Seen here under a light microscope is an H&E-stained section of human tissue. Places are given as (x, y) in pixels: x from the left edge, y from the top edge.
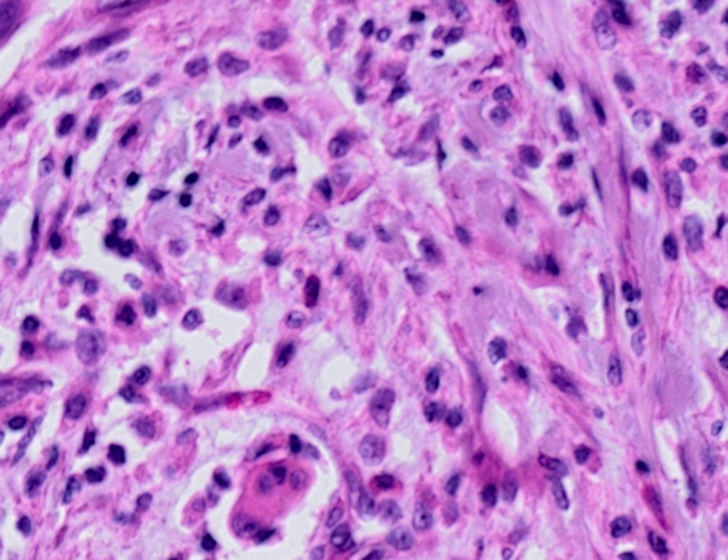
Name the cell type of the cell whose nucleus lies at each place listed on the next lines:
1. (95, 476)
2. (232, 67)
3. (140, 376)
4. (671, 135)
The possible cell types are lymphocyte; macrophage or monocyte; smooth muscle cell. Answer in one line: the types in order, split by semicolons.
lymphocyte; macrophage or monocyte; lymphocyte; lymphocyte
